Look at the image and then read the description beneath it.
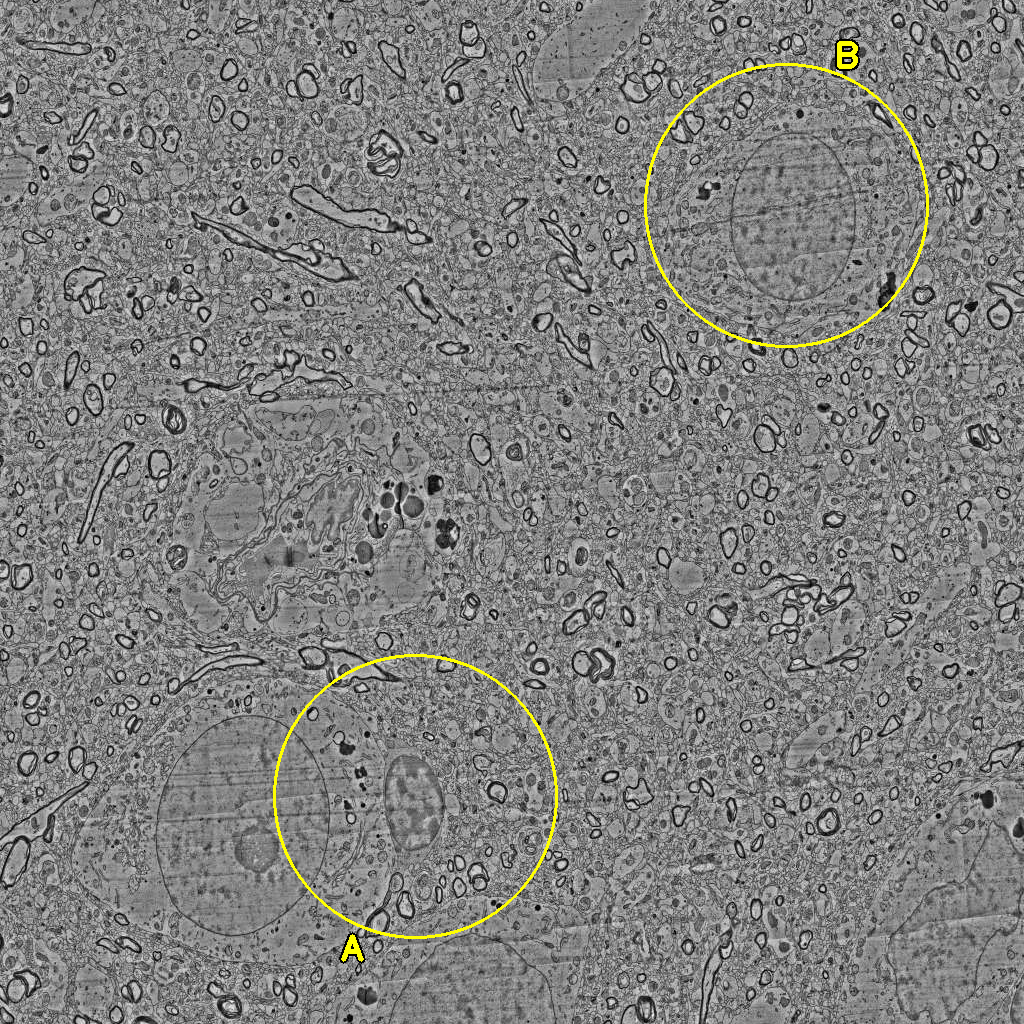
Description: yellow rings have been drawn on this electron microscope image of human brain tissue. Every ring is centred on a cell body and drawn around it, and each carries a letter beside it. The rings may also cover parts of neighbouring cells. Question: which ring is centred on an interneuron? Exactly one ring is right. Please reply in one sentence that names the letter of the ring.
It is ring B.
